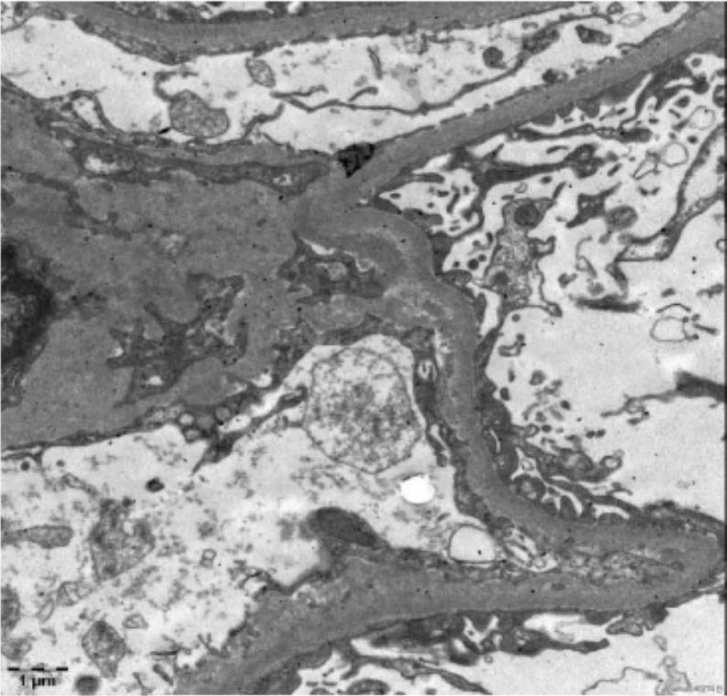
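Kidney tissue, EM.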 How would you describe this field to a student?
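A transmission electron micrograph of a glomerular capillary wall. It shows a broad, evenly grey basement membrane running diagonally across the field. Along much of its outer surface, the covering epithelial cytoplasm spreads as a continuous sheet, and regularly spaced foot processes are largely absent. To one side lies a dense cellular region with a dark nucleus. Small dark, dense deposits sit near the junction of the capillary wall with this central stalk region. The pale spaces on either side contain scattered membrane-bound fragments and vesicles.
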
